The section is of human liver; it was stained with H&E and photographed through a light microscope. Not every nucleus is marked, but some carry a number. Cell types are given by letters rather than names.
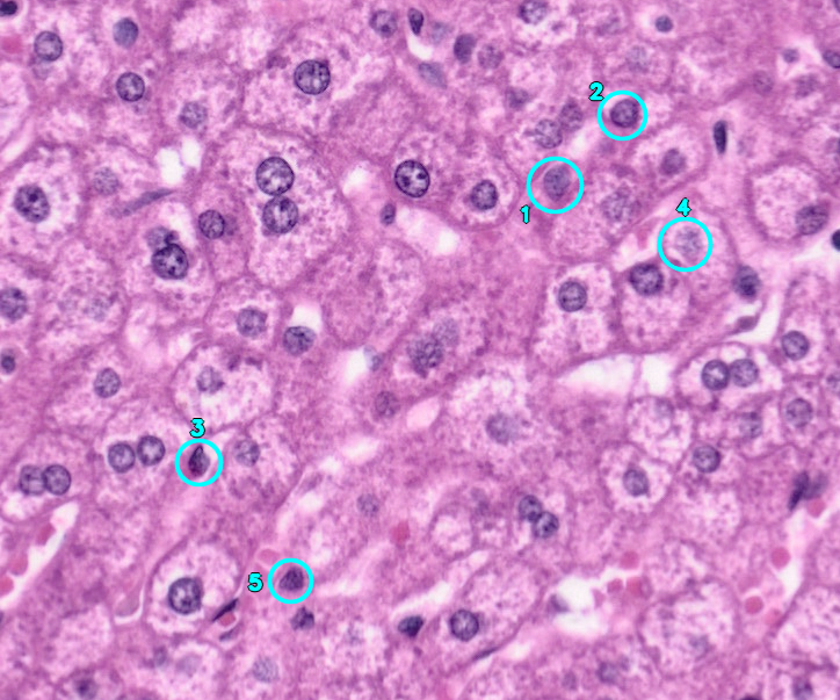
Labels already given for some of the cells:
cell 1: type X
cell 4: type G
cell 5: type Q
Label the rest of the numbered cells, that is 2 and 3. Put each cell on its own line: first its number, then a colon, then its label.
2: type G
3: type X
